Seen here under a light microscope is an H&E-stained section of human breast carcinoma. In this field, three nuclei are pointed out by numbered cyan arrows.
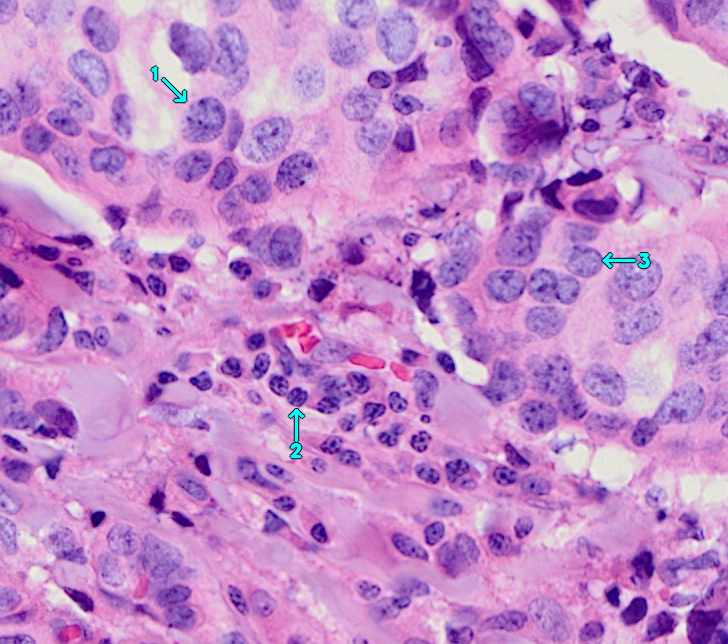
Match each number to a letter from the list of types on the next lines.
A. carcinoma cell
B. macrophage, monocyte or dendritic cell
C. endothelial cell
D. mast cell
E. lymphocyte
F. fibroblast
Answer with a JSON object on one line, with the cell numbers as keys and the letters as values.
{"1": "A", "2": "E", "3": "A"}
